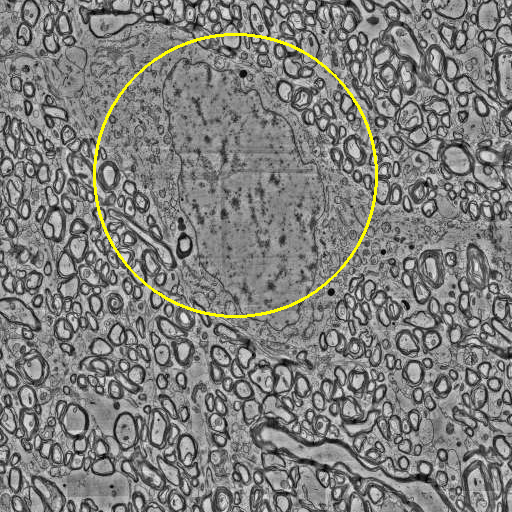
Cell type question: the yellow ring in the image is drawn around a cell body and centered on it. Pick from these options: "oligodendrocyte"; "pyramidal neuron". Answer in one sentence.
The ringed cell at the center is a pyramidal neuron.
